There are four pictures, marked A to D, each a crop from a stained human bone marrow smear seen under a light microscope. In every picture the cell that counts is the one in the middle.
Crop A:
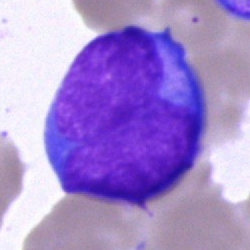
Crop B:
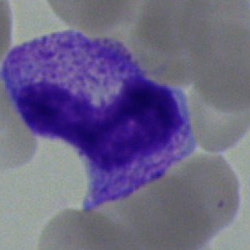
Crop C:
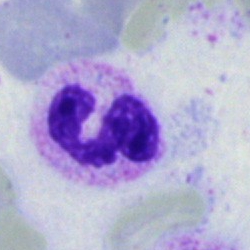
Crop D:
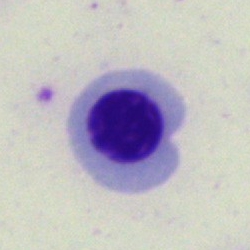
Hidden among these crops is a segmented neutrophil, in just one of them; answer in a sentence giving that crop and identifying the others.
Crop C is identified as a segmented neutrophil, whereas crop A is a blast, crop B is a band neutrophil and crop D is a normoblast.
